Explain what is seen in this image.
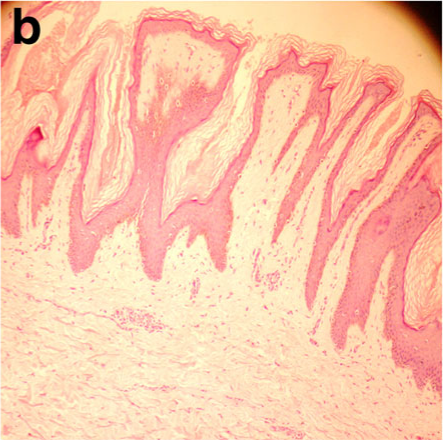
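This is skin with an epidermis thrown into tall, narrow, finger-like folds, with cores of dermal papillae pushing upward between deep epidermal ridges. Thick, pale pink, laminated keratin sits on the surface and packs the clefts between the folds, over a loose pink dermis with scattered small vessels. This picture is of papillomatosis with hyperkeratosis.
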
